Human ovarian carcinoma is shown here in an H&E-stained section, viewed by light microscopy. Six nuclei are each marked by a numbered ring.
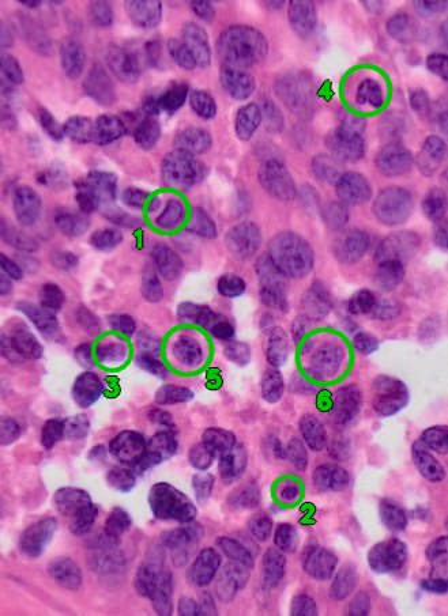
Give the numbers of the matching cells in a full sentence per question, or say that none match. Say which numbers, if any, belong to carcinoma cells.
The cells numbered 1, 2, 3 and 6 are identified as carcinoma cells.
